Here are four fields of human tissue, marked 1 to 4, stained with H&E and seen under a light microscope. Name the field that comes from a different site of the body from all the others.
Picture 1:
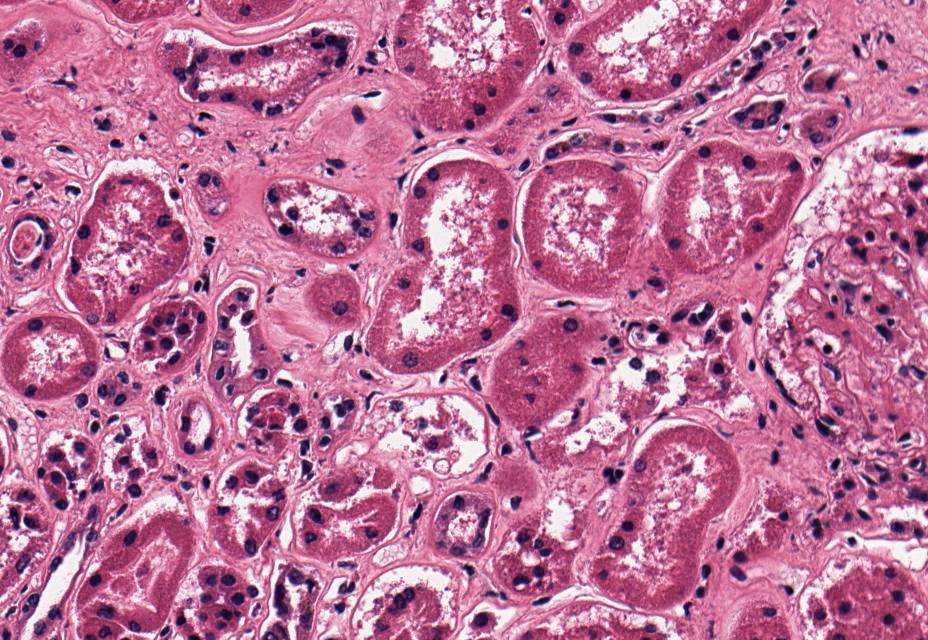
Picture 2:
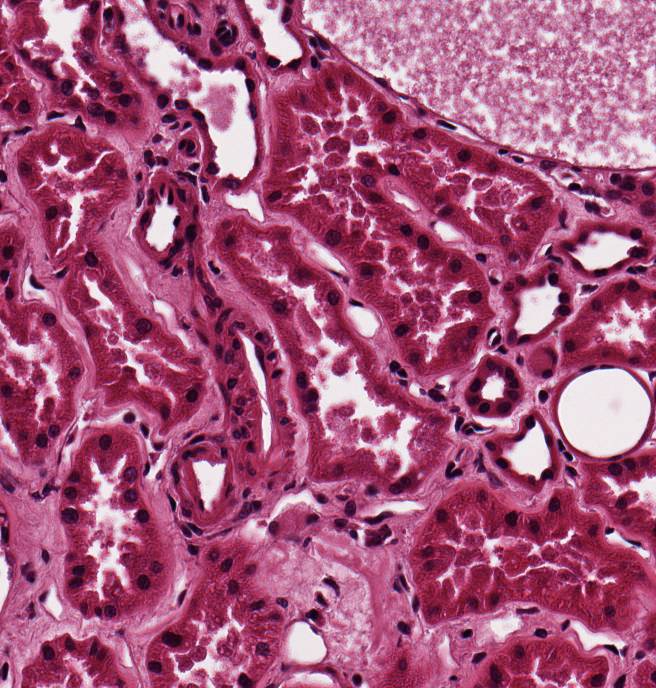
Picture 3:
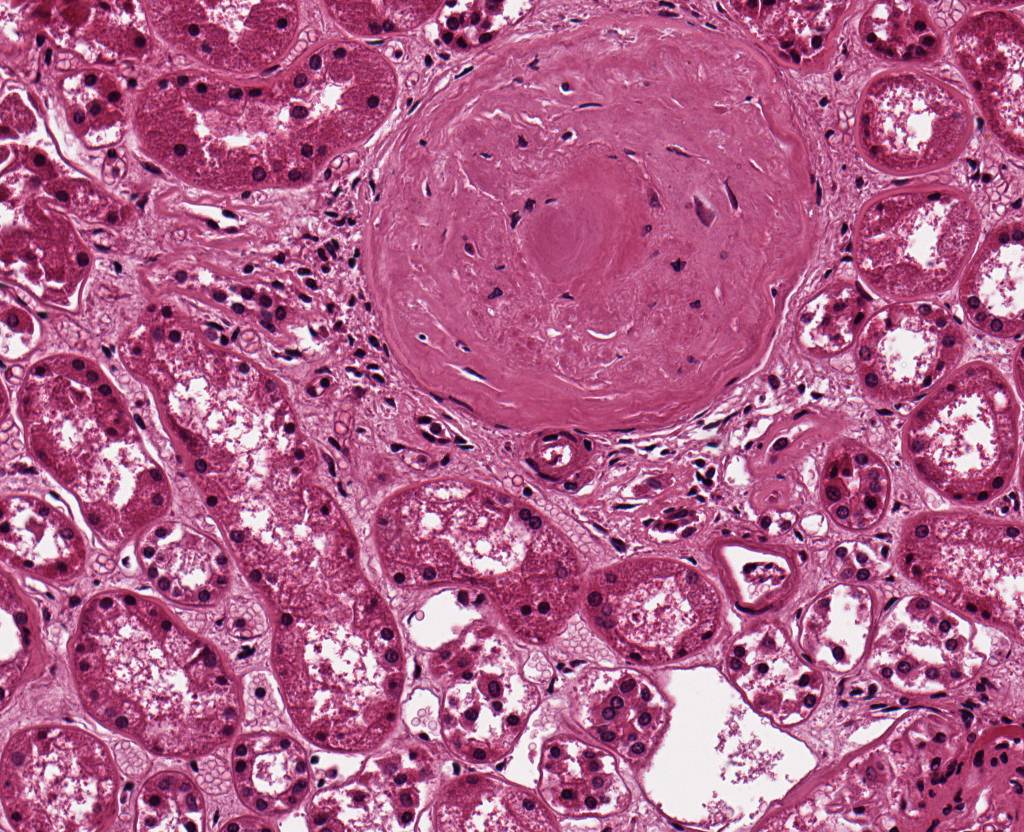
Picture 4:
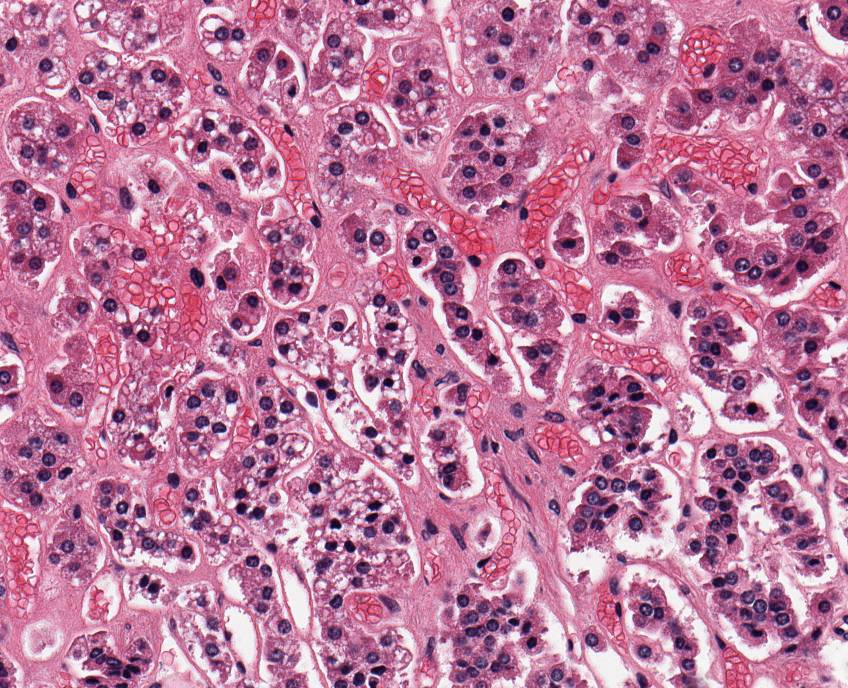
4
